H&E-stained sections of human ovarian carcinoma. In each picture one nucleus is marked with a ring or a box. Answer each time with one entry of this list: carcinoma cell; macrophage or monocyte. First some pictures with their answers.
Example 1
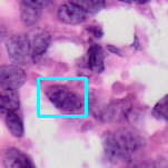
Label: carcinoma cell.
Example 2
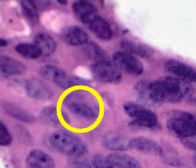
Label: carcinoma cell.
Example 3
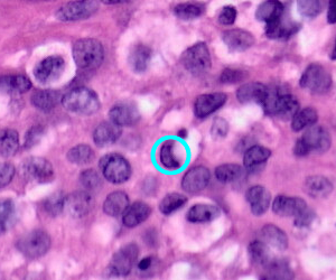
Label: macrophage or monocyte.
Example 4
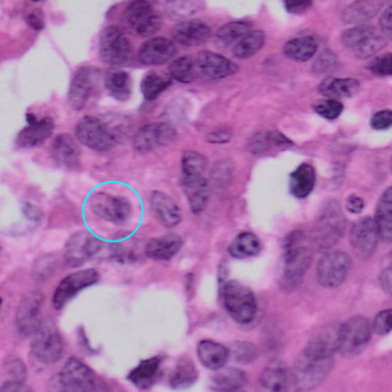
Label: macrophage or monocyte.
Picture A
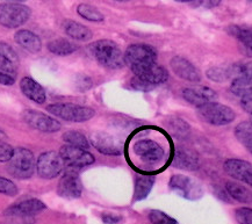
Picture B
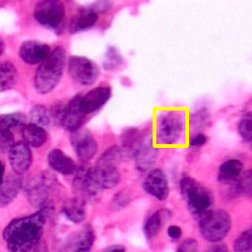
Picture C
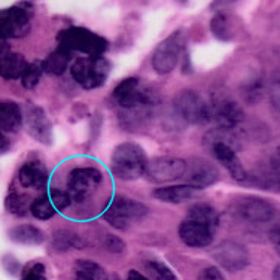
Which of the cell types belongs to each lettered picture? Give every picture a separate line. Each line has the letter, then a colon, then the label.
A: macrophage or monocyte.
B: macrophage or monocyte.
C: carcinoma cell.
